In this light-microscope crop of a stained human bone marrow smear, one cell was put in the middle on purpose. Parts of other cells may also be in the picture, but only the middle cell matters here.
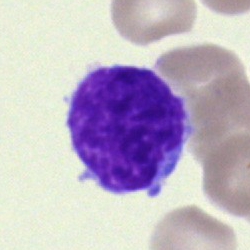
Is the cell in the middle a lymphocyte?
yes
